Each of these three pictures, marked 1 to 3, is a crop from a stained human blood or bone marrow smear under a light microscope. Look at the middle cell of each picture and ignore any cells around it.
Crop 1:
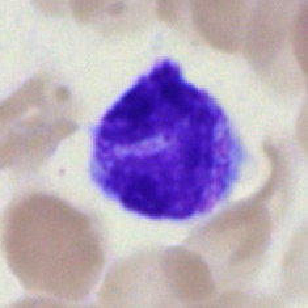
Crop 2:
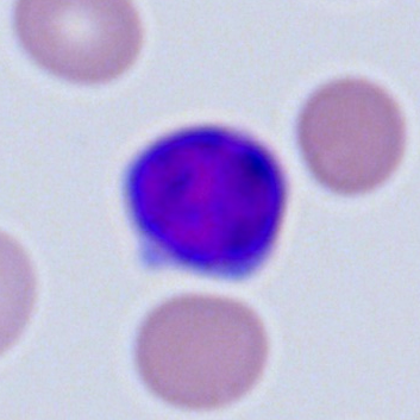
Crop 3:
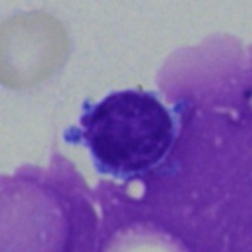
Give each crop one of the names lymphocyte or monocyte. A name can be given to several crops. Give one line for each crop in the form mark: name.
1: monocyte
2: lymphocyte
3: lymphocyte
